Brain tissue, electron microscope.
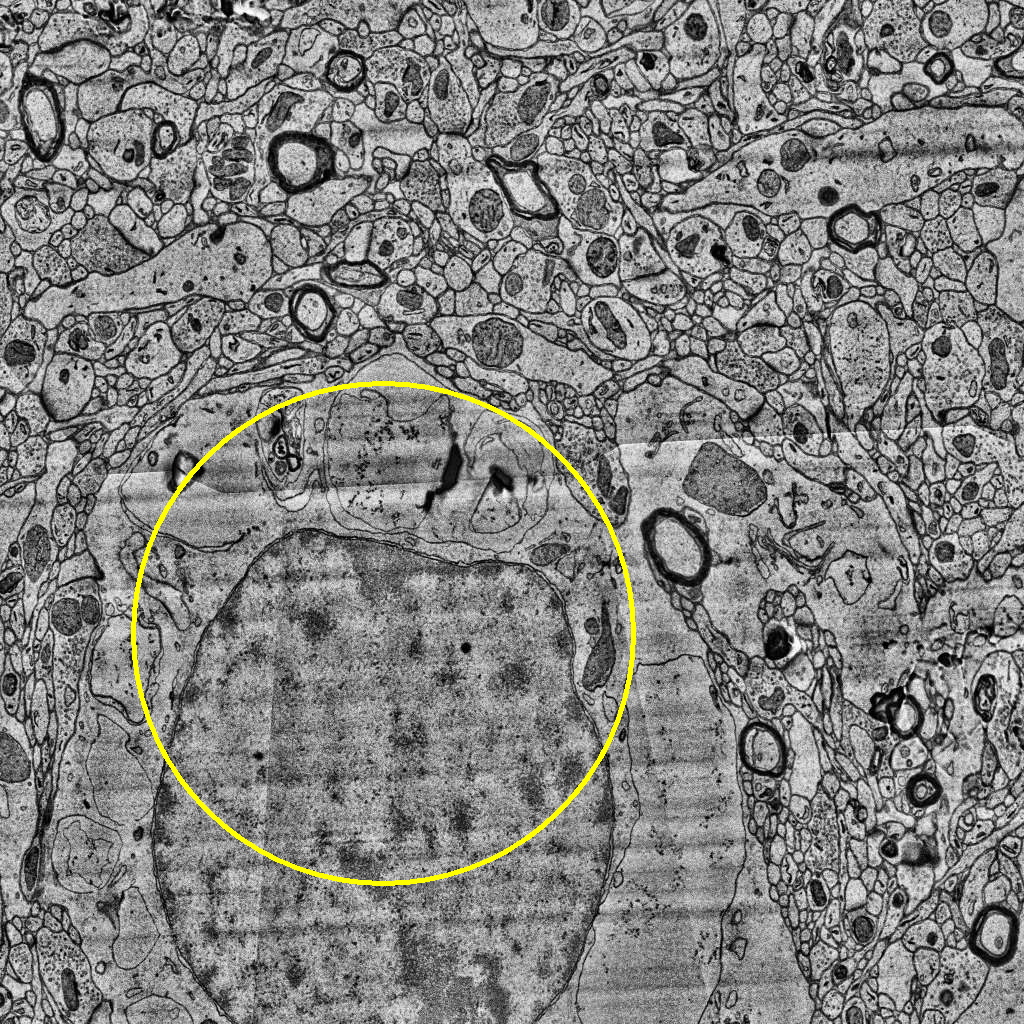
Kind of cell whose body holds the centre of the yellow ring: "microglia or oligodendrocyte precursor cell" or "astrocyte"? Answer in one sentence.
The ring's centre falls on an astrocyte.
